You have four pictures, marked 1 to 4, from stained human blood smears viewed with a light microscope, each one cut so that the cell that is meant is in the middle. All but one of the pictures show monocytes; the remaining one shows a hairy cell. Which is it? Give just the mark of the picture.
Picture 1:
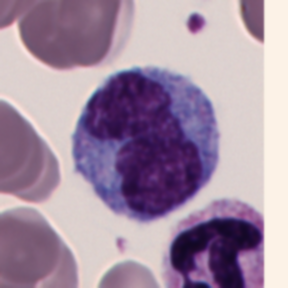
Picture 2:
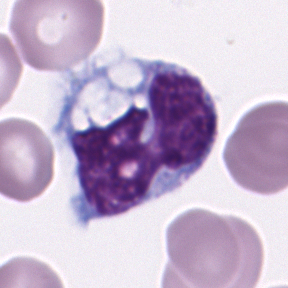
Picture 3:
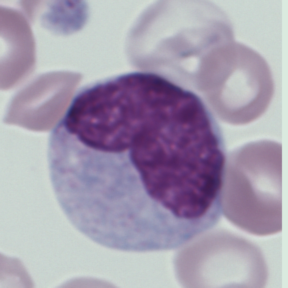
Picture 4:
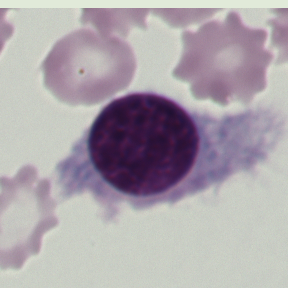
4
